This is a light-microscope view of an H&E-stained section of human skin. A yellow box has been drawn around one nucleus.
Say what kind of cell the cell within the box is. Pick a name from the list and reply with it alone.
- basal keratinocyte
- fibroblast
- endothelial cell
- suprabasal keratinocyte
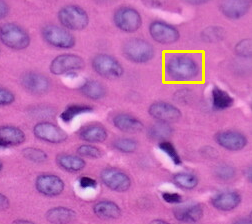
suprabasal keratinocyte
